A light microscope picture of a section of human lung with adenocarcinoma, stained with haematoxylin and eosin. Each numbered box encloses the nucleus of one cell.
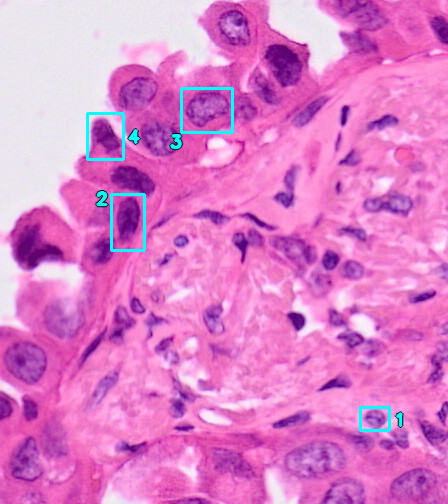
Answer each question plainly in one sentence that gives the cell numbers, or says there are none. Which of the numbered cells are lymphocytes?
Only the cell marked 1 is a lymphocyte.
